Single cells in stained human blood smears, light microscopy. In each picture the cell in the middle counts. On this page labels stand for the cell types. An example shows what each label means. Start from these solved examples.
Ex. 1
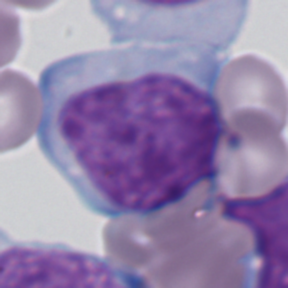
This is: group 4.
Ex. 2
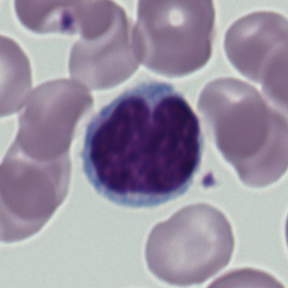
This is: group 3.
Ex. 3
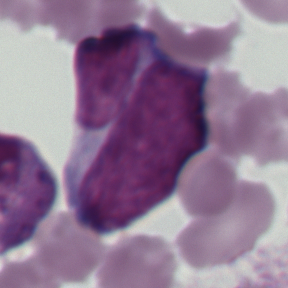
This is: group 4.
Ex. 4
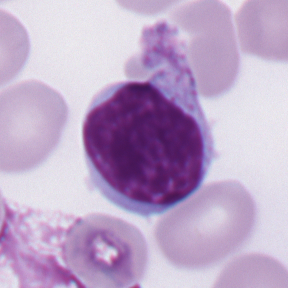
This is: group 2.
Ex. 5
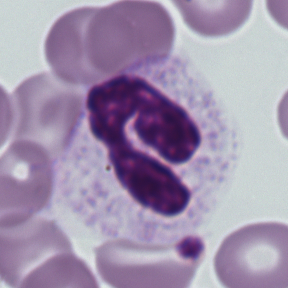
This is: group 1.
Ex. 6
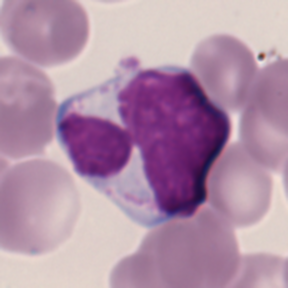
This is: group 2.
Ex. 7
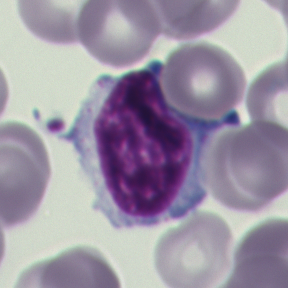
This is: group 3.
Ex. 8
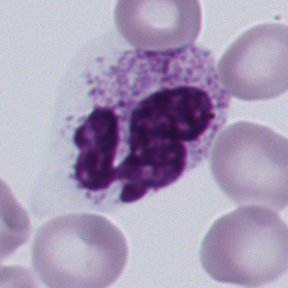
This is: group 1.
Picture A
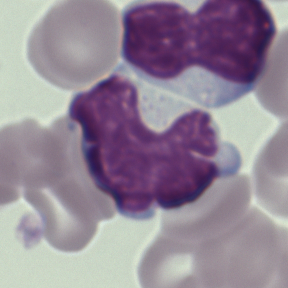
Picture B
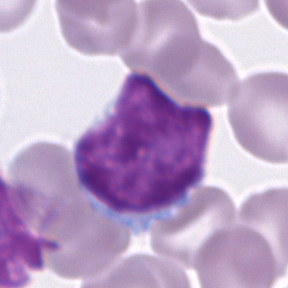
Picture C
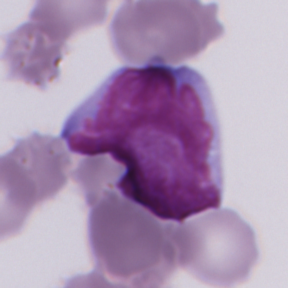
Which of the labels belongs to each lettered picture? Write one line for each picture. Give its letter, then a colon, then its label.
A: group 2.
B: group 3.
C: group 4.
